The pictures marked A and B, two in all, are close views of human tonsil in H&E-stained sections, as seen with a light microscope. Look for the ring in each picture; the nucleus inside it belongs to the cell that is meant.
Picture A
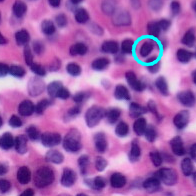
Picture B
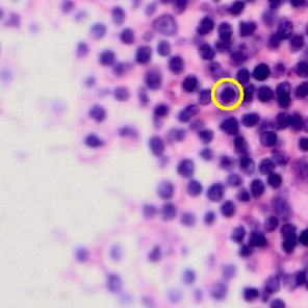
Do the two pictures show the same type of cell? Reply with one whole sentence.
Yes, they are the same type: both are small lymphocytes.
